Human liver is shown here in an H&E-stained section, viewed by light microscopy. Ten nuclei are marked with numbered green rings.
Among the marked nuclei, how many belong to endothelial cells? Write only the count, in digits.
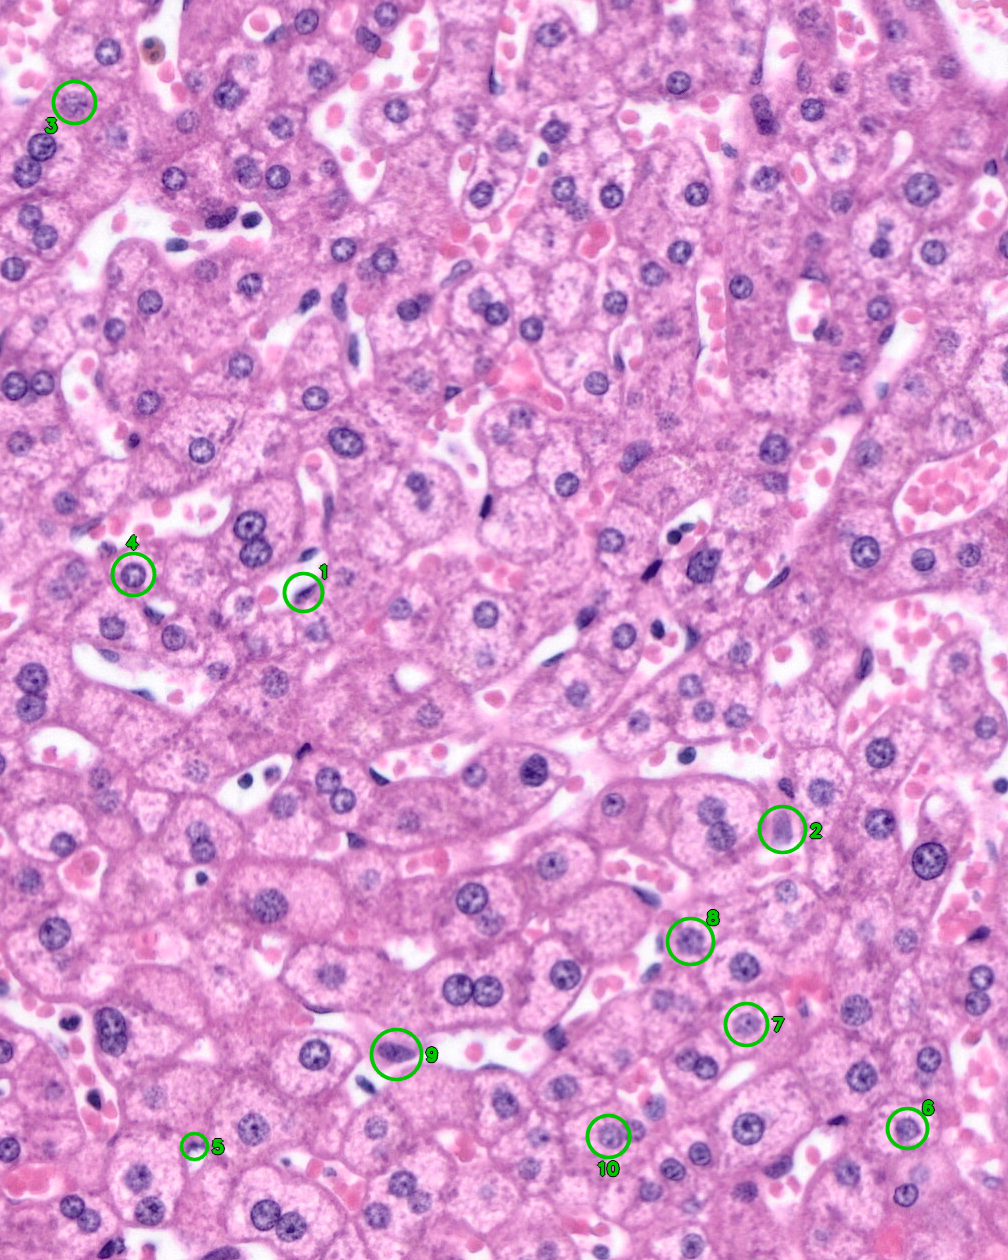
2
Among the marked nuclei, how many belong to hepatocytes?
6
